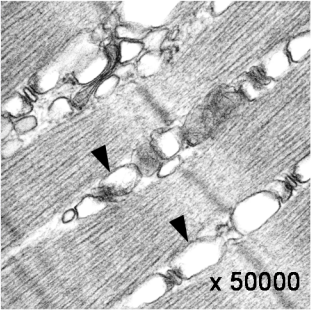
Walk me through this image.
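High-magnification transmission electron micrograph of skeletal muscle fibre showing longitudinally cut myofibrils with fine parallel filaments and a dark transverse band crossing them. Between neighbouring myofibrils runs a narrow strip of cytoplasm containing membrane-bound compartments. Many of these compartments are enlarged into rounded, electron-lucent, pale sacs, marked by black arrowheads, far wider than flattened membrane profiles. Beside them lie smaller paired membrane profiles and a mitochondrion with internal cristae near the centre. The contractile filaments themselves look orderly, while the spaces between myofibrils appear distended by the swollen sacs.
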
